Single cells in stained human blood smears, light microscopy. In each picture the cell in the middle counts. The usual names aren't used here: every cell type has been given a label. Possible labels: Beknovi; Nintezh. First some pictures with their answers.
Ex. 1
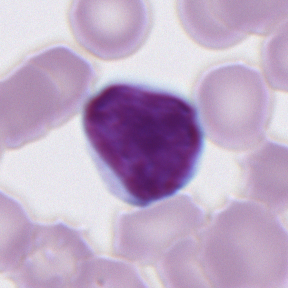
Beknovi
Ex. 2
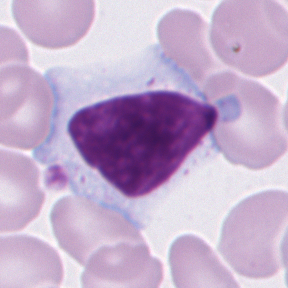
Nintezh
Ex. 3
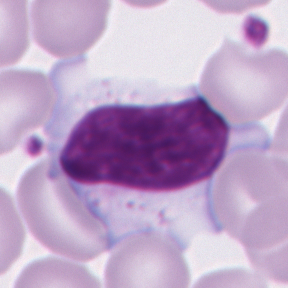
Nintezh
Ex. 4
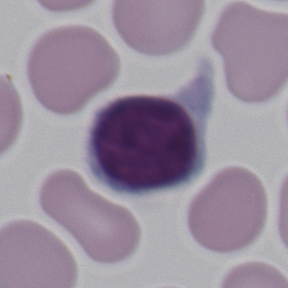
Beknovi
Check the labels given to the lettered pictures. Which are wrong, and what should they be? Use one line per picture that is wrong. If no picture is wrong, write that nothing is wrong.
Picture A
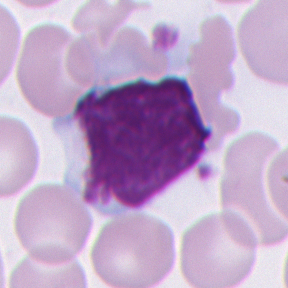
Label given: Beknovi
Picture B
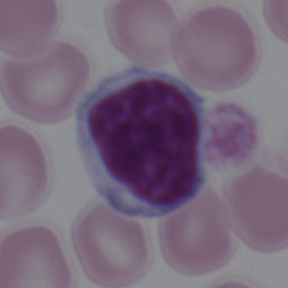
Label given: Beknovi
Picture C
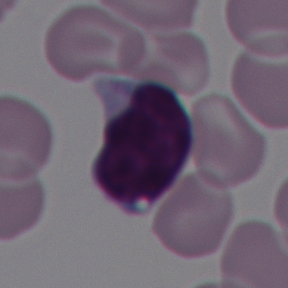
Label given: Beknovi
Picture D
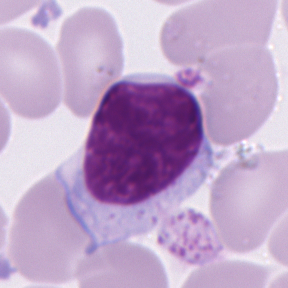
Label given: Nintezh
All labels are correct.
